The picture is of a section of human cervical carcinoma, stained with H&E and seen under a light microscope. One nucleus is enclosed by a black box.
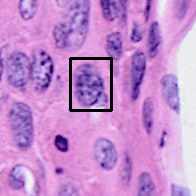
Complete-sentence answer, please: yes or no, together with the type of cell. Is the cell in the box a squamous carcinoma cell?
Yes, in this field of view, the cell in the box is a squamous carcinoma cell.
